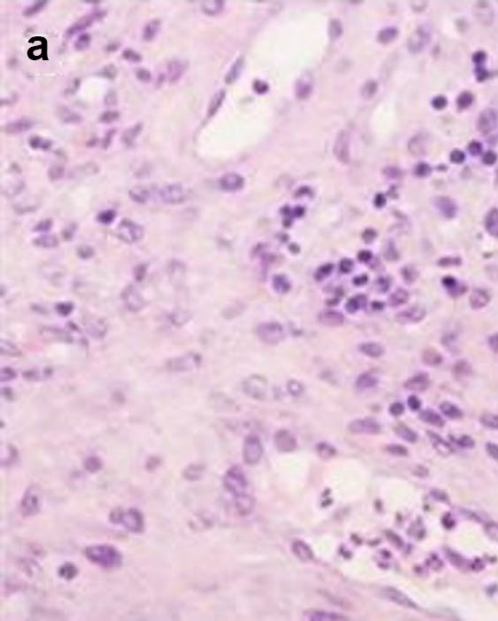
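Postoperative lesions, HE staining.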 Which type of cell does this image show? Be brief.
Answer: inflammatory cells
